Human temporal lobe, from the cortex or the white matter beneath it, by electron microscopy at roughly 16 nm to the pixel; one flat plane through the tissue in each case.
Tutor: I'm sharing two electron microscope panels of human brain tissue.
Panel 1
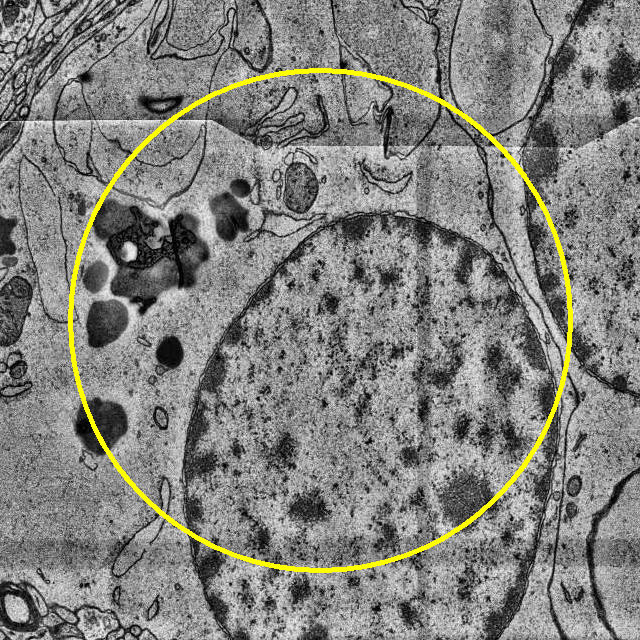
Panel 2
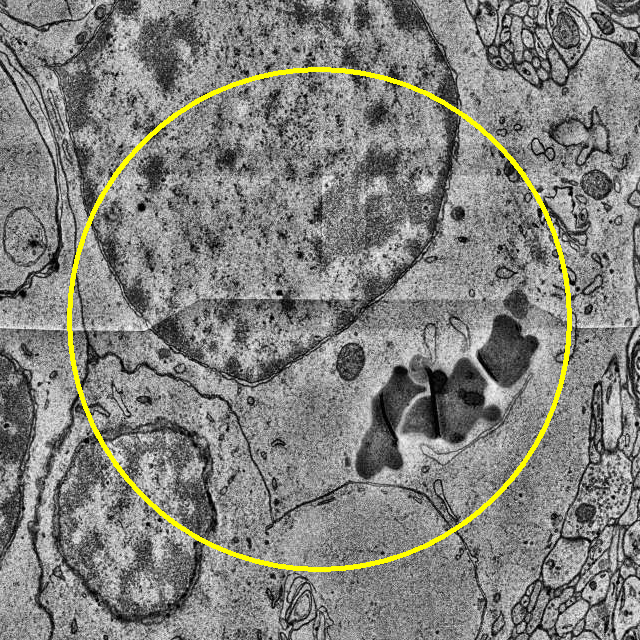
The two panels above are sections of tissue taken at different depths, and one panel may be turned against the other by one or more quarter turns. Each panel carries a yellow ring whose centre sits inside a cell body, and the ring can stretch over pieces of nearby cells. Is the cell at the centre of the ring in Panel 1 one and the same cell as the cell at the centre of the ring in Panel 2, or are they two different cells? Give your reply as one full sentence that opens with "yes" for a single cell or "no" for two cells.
Yes, both rings are placed on a single cell.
